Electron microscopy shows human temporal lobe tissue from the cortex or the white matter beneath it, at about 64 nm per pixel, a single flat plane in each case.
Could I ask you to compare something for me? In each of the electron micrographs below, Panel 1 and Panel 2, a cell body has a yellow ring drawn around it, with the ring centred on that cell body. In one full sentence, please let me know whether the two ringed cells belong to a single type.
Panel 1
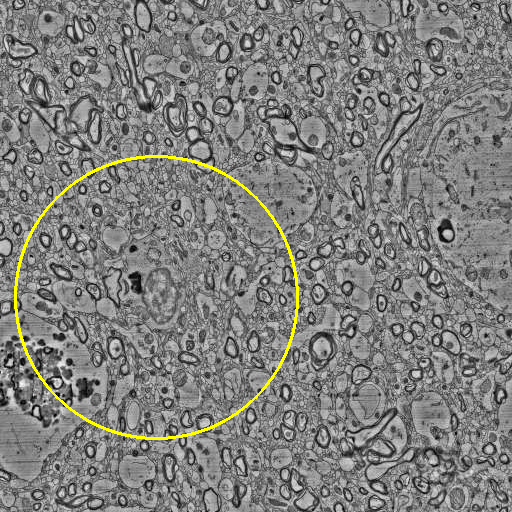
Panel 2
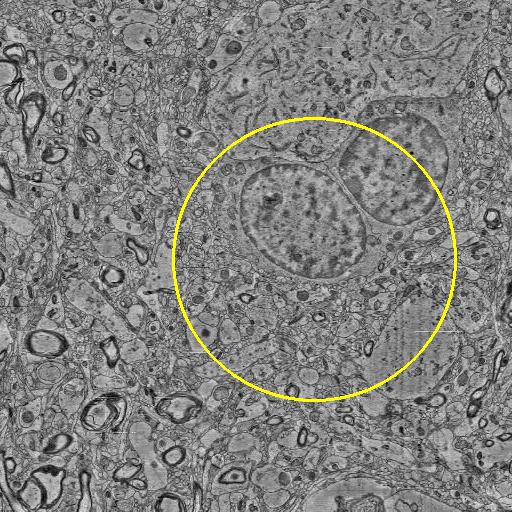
Yes, the two cells at the centres of the rings are of one type.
